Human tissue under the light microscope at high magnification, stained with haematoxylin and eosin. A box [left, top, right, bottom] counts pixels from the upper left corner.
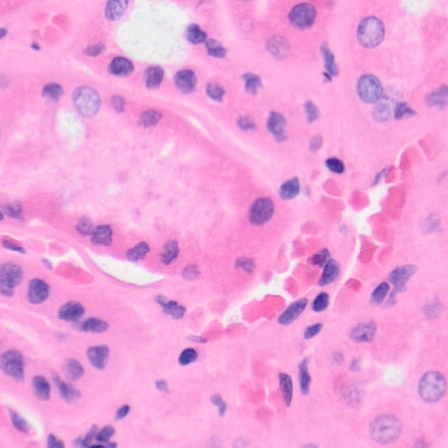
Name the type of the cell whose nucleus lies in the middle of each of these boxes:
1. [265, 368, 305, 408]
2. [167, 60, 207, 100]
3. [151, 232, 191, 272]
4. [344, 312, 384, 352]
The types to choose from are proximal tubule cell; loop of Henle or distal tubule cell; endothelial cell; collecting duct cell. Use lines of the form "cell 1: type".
cell 1: endothelial cell
cell 2: loop of Henle or distal tubule cell
cell 3: proximal tubule cell
cell 4: proximal tubule cell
